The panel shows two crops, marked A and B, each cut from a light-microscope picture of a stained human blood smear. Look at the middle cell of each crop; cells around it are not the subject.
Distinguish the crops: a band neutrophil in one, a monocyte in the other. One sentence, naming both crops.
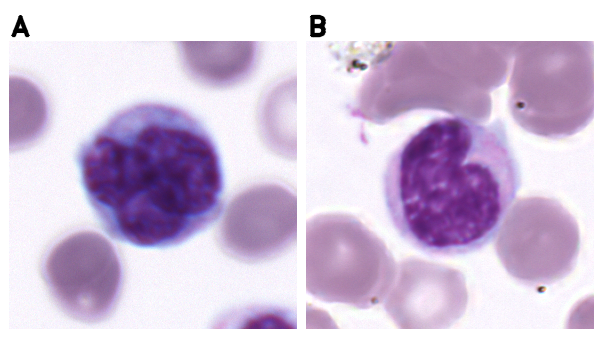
Displayed in crop A is a monocyte, while crop B displays a band neutrophil.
